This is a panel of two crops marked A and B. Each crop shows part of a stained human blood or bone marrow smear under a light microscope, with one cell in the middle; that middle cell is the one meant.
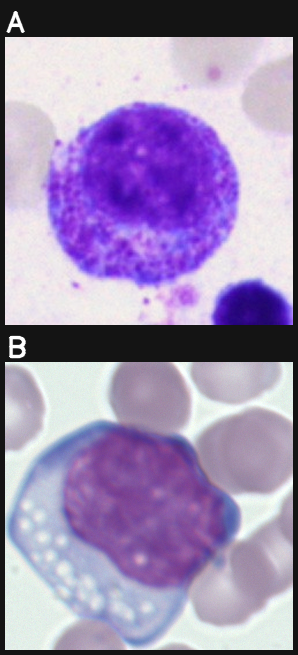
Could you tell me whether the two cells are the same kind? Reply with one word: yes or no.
no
